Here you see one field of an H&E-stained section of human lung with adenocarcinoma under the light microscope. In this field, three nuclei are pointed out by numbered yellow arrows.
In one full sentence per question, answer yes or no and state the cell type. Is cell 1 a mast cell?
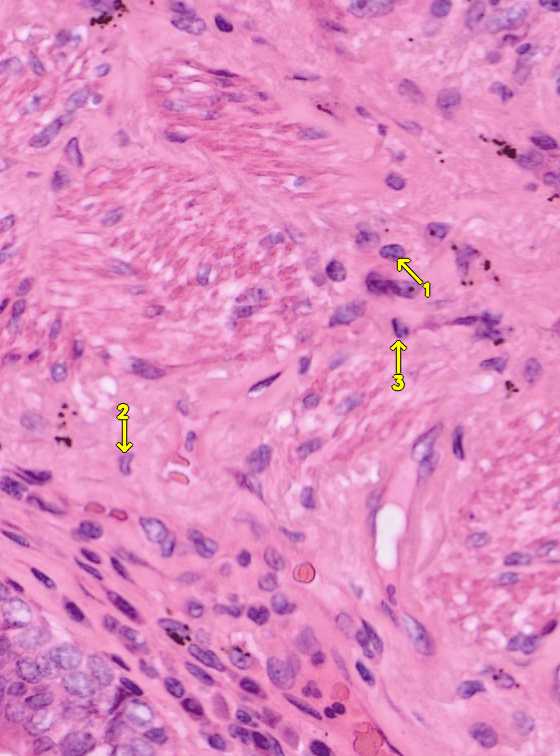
Yes, it is a mast cell that number 1 identifies.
